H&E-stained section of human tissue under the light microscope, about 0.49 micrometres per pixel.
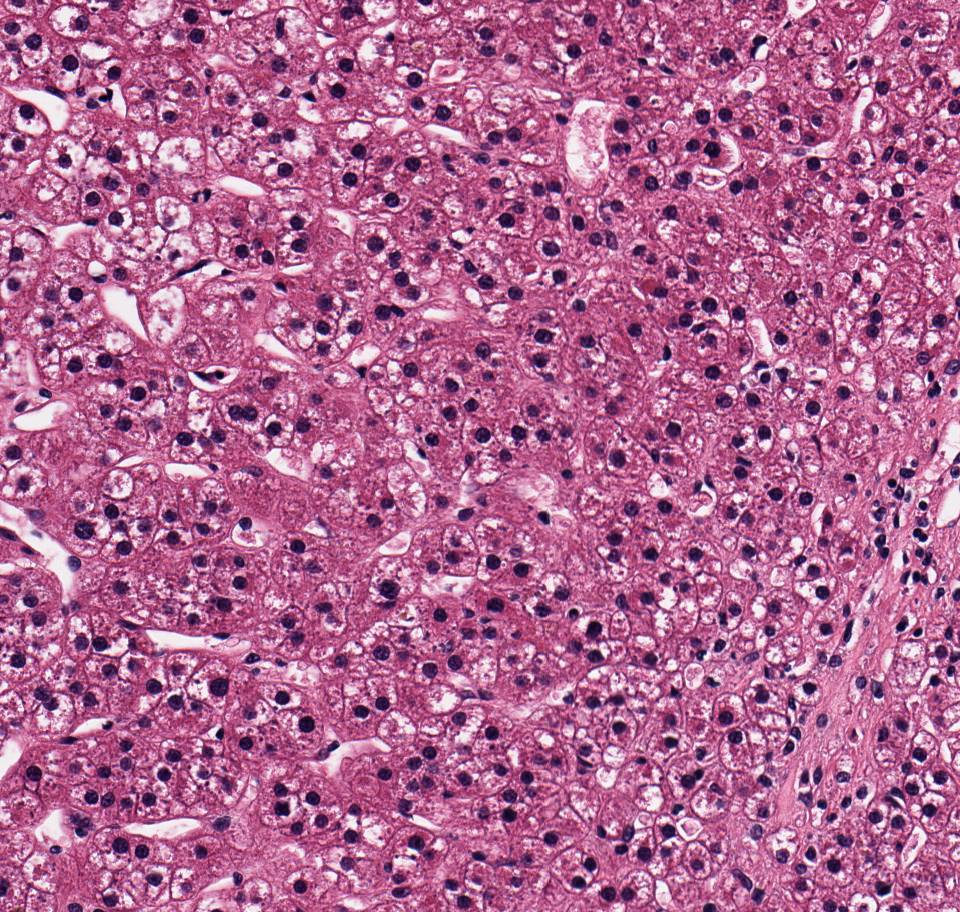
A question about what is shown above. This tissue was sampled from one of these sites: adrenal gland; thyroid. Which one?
adrenal gland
